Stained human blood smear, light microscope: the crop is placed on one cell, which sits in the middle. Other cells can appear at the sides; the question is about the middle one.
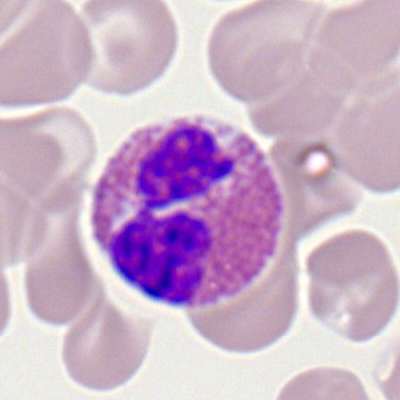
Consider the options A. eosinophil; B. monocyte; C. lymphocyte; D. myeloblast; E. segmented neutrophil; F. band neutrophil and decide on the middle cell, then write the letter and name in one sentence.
The centrally positioned cell is an eosinophil, consistent with option A, which is correct.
